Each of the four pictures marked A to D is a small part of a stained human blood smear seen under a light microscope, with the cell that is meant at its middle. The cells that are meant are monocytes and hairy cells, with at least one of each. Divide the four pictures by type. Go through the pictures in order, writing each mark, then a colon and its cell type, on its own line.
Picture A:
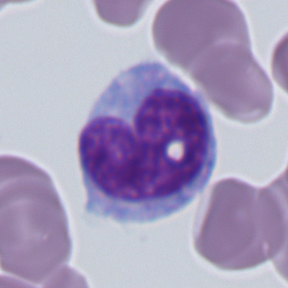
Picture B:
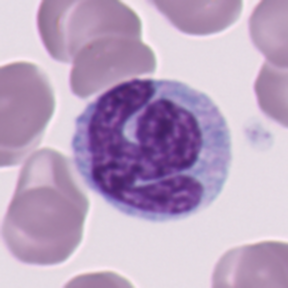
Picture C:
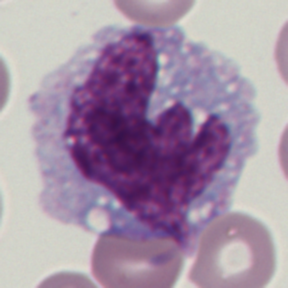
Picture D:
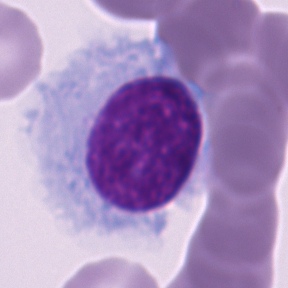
A: monocyte
B: monocyte
C: monocyte
D: hairy cell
